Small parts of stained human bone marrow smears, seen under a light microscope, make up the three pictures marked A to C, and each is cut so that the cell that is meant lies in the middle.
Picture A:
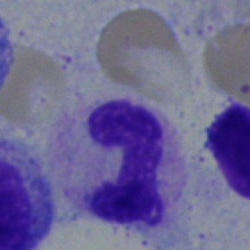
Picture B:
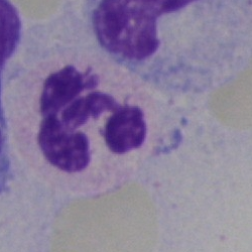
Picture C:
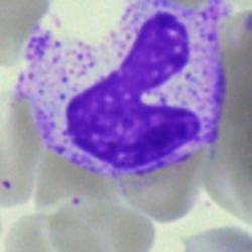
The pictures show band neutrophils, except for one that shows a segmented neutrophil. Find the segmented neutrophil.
B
